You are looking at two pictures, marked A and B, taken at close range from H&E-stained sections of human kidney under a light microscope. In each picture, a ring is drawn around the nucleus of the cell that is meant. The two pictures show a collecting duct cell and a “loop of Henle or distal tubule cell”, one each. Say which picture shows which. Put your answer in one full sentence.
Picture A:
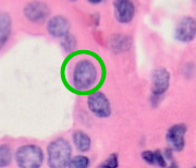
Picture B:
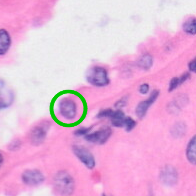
The cell in picture A is a collecting duct cell, and the one in picture B is a “loop of Henle or distal tubule cell”.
